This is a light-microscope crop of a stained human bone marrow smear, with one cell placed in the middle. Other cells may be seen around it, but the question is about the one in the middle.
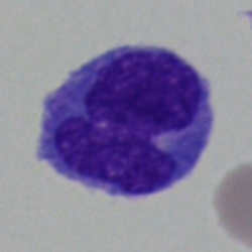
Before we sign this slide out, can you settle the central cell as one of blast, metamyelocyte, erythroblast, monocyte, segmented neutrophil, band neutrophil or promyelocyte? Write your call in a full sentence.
Classified as a monocyte is the cell in the middle of this crop.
